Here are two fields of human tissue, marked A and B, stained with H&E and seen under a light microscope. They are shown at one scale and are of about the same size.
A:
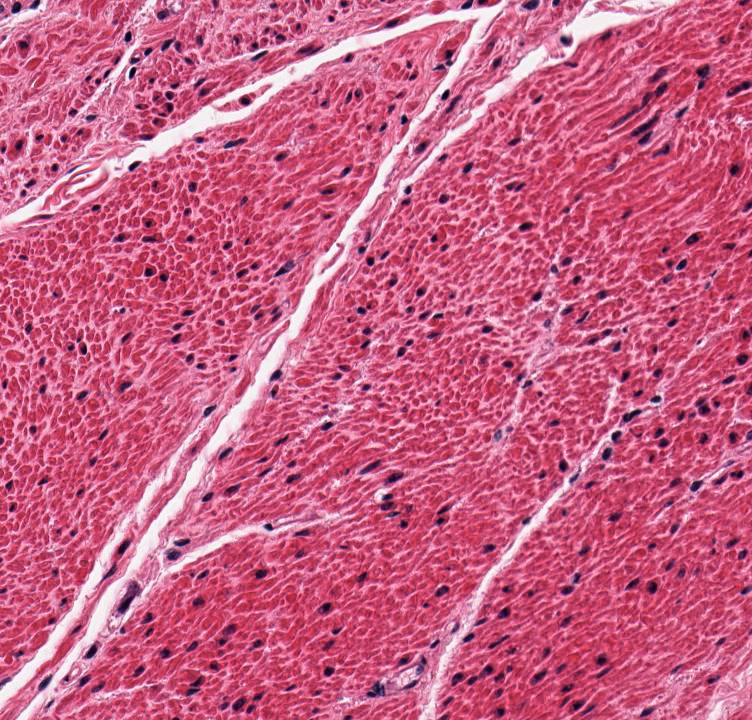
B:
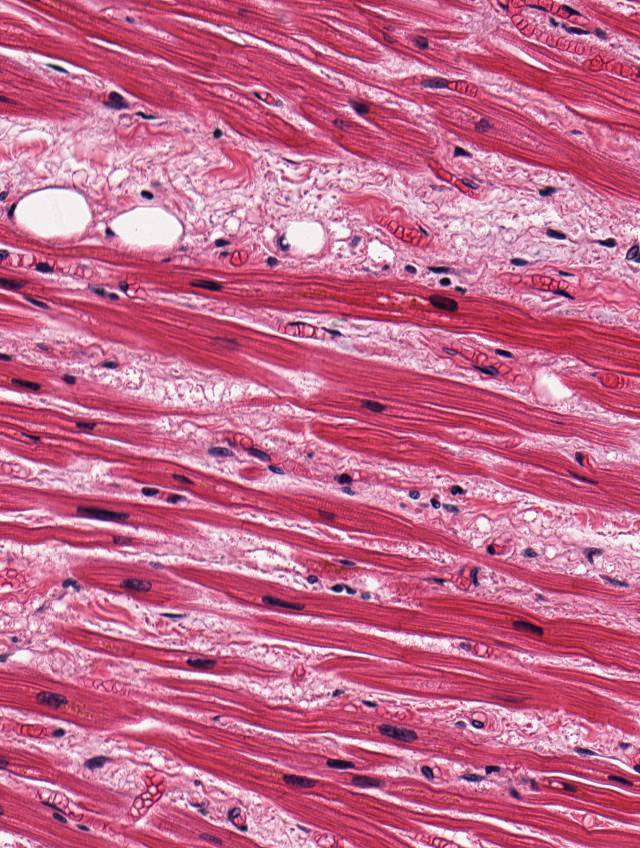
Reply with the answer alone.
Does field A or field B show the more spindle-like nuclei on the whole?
B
